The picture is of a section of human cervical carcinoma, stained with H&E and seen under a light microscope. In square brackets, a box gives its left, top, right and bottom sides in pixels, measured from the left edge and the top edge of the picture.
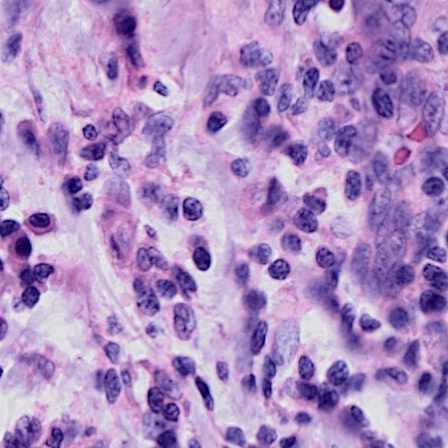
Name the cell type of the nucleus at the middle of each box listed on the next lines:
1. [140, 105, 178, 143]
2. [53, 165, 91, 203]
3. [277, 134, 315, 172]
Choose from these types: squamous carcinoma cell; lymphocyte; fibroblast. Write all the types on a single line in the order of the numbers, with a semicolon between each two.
fibroblast; lymphocyte; lymphocyte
